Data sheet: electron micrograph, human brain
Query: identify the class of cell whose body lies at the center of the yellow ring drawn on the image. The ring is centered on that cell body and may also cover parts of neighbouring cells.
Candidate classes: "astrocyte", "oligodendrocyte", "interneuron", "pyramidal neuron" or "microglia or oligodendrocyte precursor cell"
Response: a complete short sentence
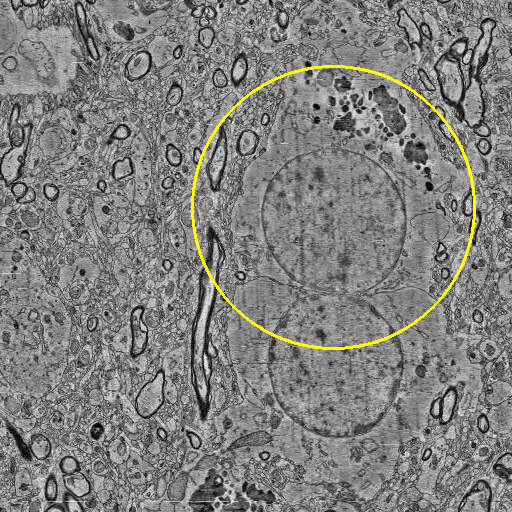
At the center of the ring lies an astrocyte.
